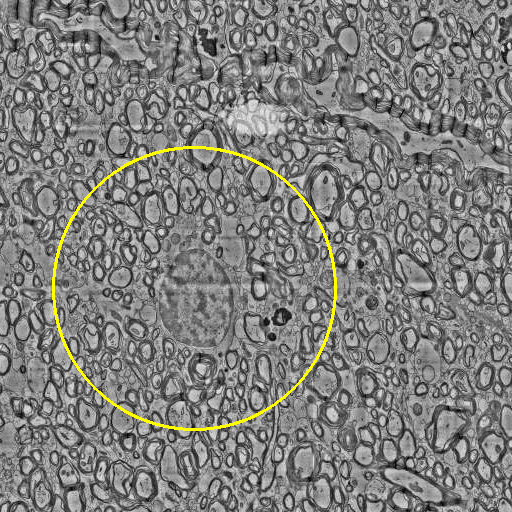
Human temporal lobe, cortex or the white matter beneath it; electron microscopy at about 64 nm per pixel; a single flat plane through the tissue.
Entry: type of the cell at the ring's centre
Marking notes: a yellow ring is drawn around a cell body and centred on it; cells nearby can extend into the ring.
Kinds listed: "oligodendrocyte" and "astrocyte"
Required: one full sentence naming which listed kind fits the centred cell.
My entry names an oligodendrocyte as the cell whose body the yellow ring centres on.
